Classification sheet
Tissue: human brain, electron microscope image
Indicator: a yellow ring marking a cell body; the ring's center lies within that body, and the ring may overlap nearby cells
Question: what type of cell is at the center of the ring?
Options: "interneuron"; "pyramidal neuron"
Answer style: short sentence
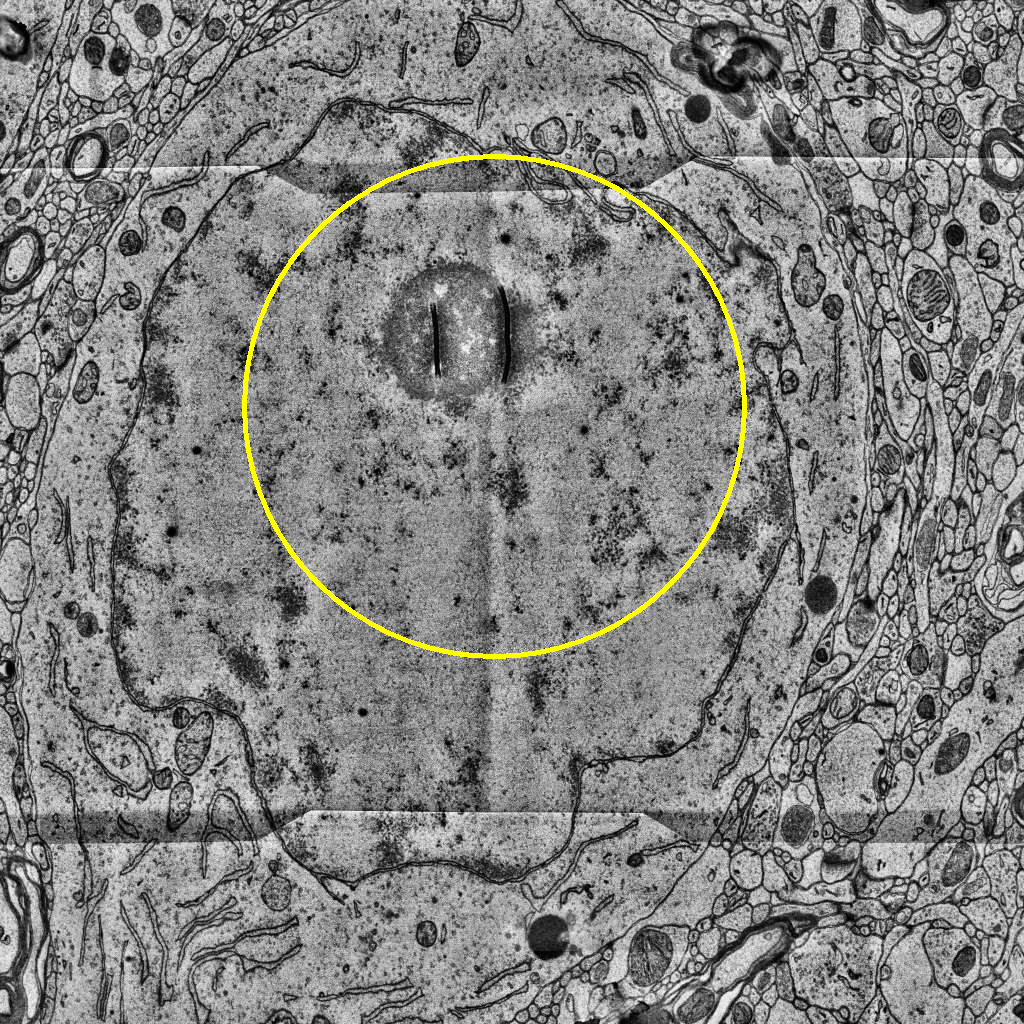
At the ring's center is an interneuron.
